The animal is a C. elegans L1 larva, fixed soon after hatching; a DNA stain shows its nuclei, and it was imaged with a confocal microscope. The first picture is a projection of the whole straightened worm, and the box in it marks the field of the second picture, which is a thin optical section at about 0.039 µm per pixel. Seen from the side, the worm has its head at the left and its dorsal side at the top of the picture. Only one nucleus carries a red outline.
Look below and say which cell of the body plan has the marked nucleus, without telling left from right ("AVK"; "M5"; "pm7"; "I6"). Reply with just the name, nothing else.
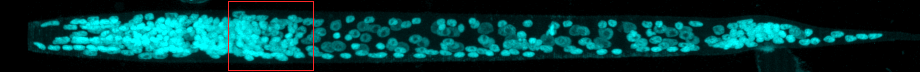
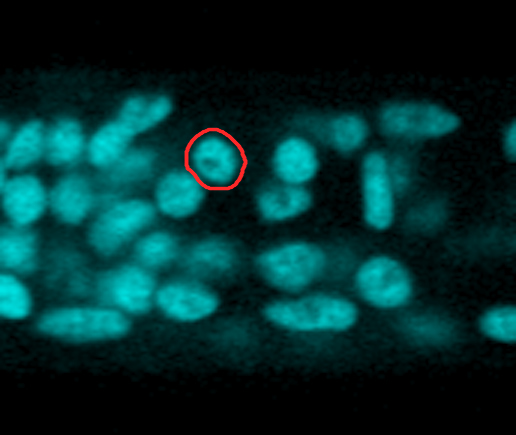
I6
